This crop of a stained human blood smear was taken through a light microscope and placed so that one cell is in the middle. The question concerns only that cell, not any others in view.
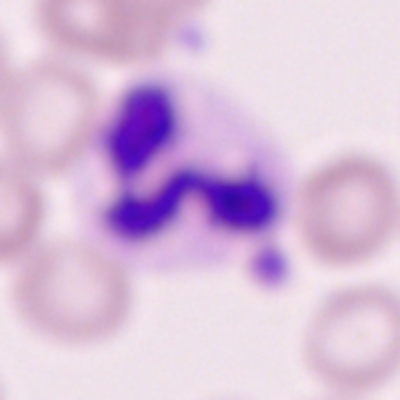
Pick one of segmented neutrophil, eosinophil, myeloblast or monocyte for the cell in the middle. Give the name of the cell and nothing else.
segmented neutrophil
